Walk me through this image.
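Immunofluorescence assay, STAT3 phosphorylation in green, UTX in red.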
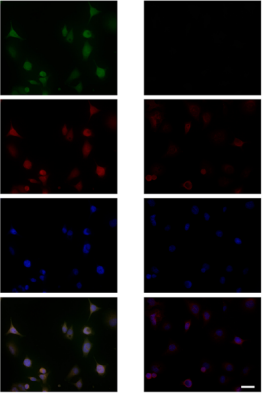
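These are sparse cultured cells grown as a monolayer and shown in separate colour channels and a merge. They are scattered singly across the field rather than in a confluent sheet. The small blue nuclei are round to oval. In the left column, green signal also outlines cell bodies.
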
